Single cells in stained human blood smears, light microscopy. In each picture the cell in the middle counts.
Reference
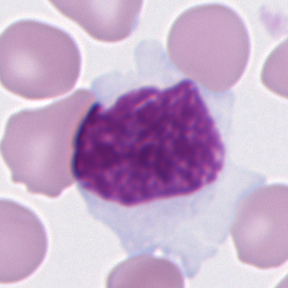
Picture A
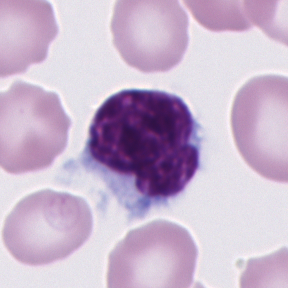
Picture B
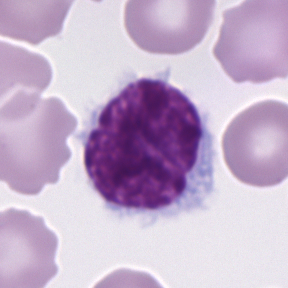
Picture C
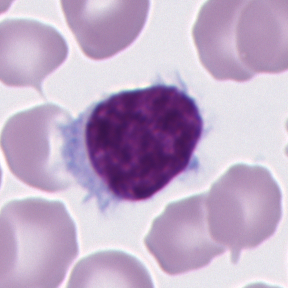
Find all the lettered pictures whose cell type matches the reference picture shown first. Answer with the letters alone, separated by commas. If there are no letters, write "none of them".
A, B, C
